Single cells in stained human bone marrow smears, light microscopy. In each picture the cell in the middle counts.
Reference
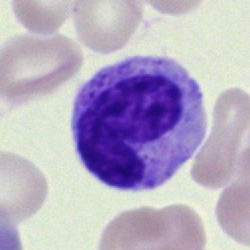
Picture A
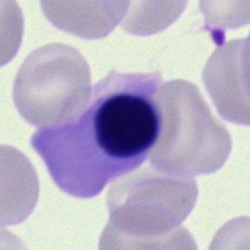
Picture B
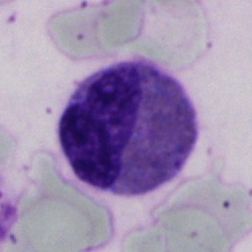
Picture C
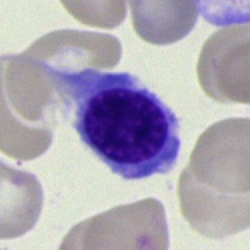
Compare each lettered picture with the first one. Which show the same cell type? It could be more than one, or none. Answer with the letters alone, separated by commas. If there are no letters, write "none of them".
none of them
